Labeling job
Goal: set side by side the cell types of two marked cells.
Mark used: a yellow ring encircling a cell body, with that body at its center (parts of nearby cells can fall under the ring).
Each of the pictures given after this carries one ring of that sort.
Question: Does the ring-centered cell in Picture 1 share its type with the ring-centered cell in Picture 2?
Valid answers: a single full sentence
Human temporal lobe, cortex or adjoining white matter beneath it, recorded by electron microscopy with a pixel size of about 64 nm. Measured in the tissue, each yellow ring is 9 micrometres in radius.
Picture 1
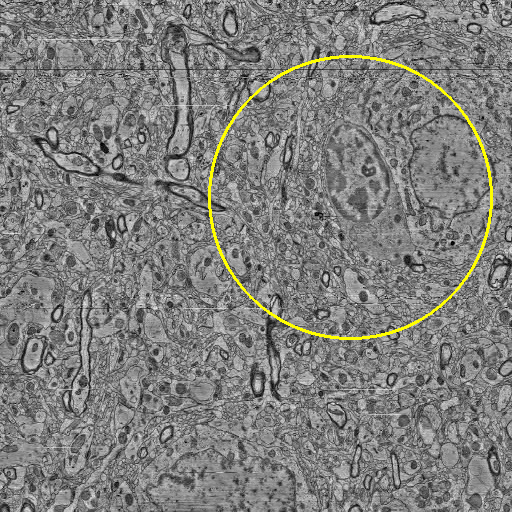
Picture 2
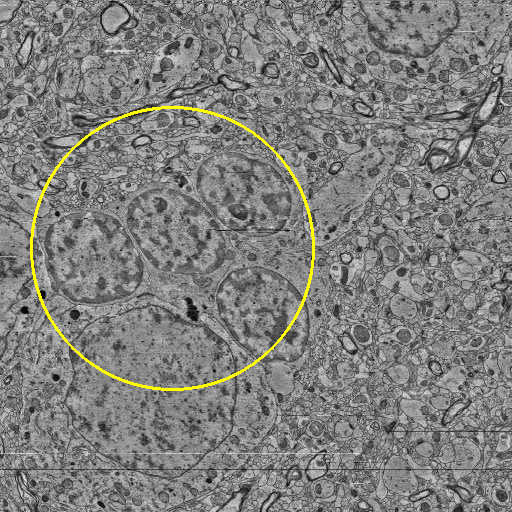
Yes, in Pictures 1 and 2 the cells at the ring centers share one type.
